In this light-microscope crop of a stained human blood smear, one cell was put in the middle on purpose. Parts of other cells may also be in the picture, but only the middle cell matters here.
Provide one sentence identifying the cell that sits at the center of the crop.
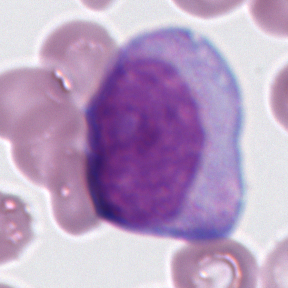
This particular crop is centered on an atypical promyelocyte.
